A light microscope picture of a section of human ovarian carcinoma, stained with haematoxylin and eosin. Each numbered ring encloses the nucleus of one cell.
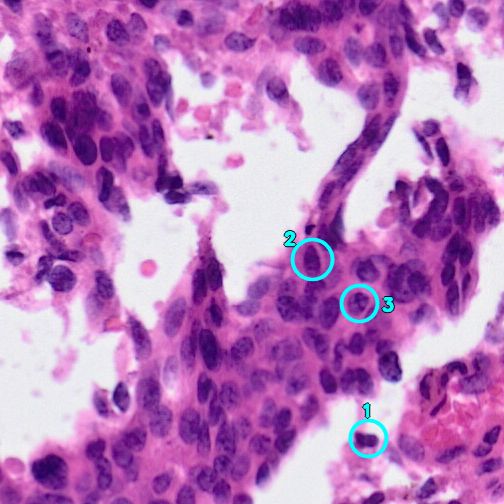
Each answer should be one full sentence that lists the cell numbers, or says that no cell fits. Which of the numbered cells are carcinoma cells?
The cells marked by the numbers 1 and 2 are carcinoma cells.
